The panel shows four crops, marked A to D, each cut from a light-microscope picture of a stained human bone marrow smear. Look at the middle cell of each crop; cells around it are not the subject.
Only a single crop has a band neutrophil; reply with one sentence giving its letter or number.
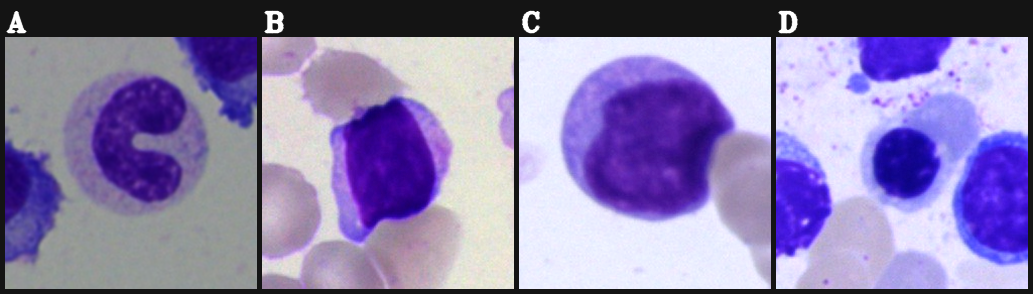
Crop A matches the request, showing a band neutrophil.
